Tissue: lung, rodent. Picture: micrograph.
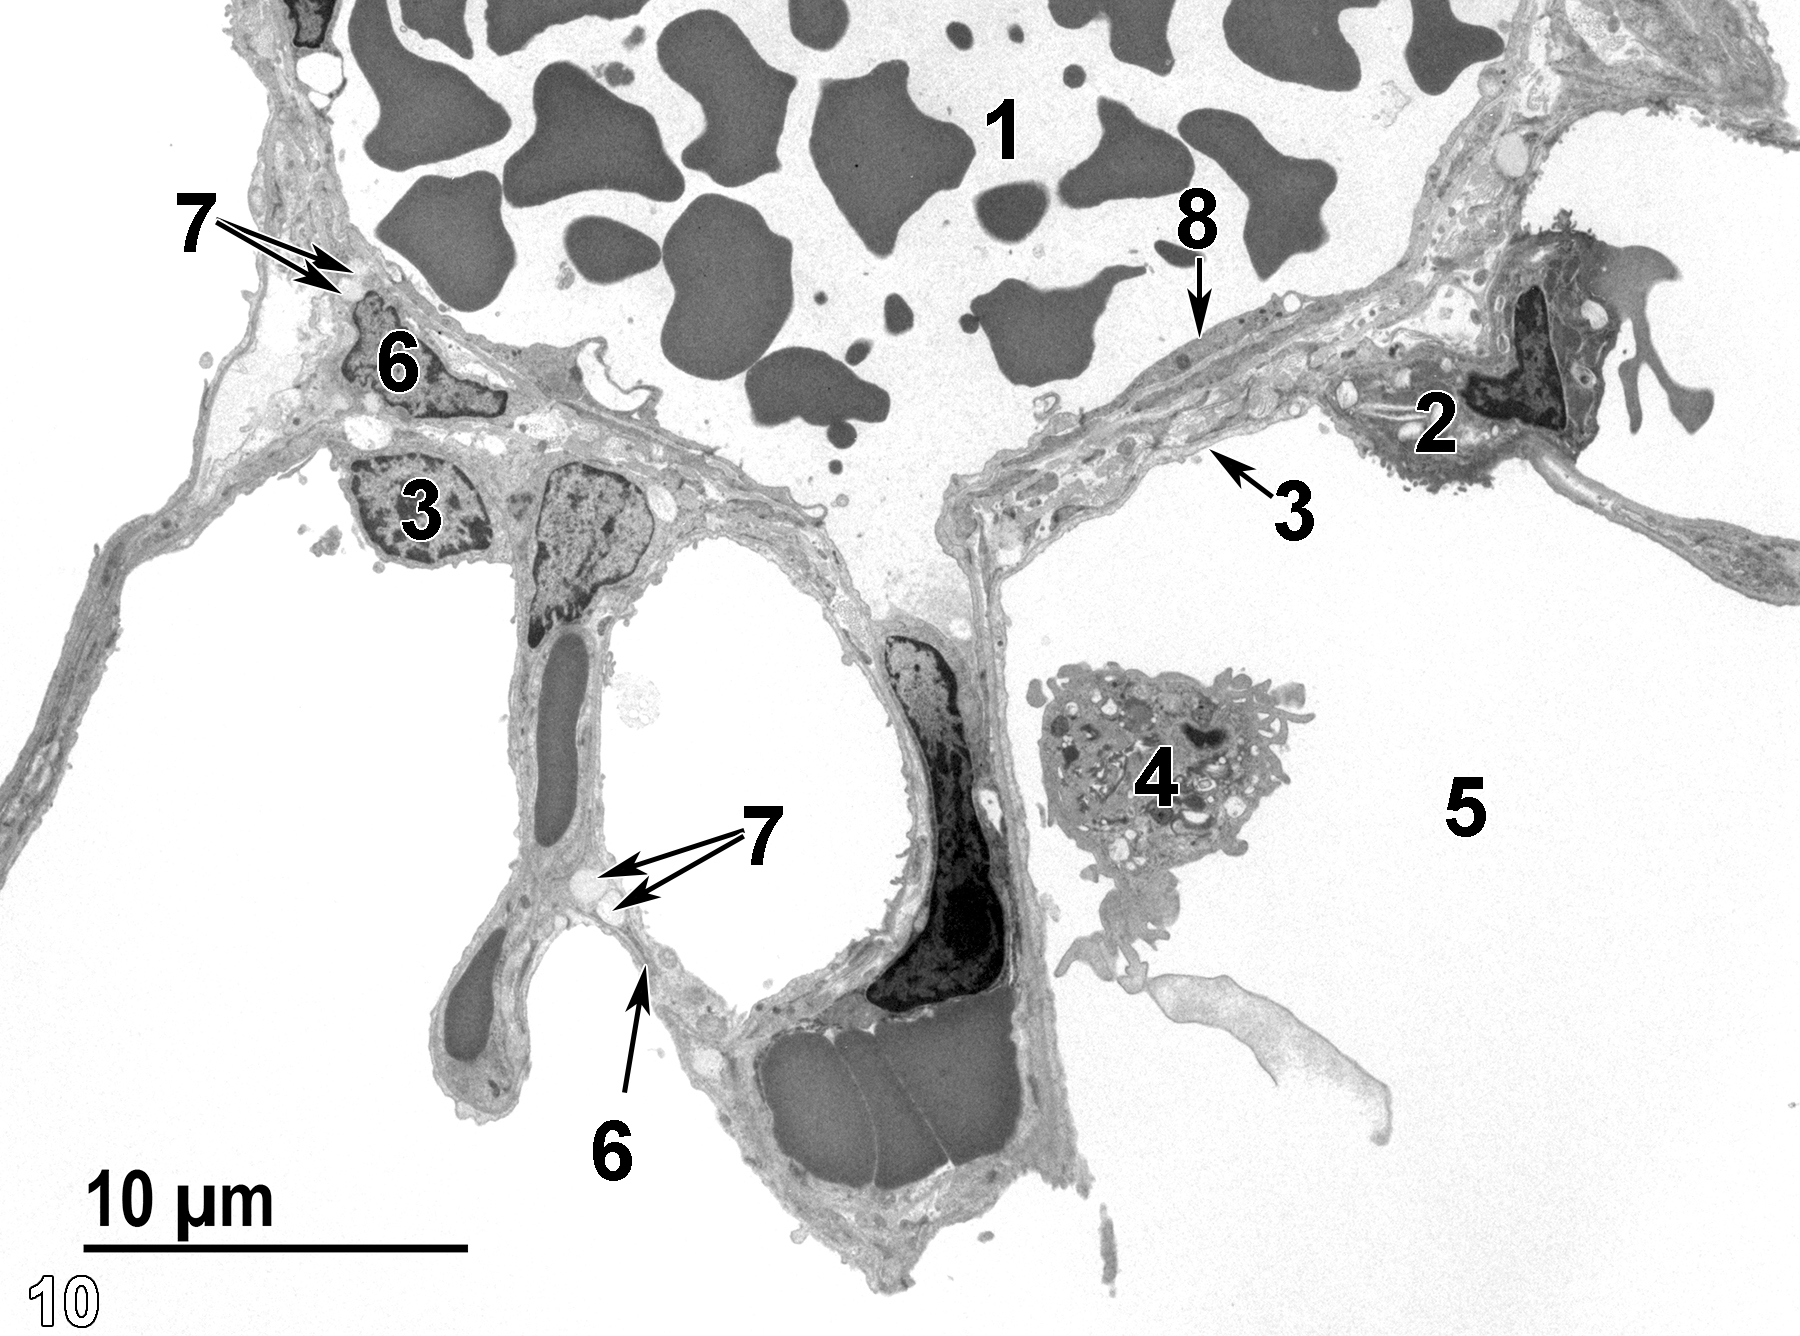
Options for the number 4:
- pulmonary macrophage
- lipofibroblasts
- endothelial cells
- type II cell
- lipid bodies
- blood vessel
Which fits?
pulmonary macrophage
